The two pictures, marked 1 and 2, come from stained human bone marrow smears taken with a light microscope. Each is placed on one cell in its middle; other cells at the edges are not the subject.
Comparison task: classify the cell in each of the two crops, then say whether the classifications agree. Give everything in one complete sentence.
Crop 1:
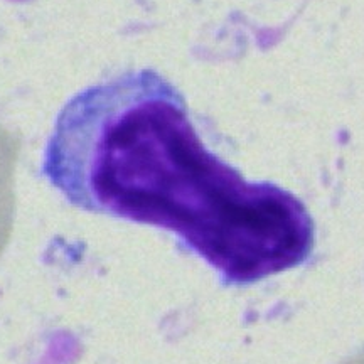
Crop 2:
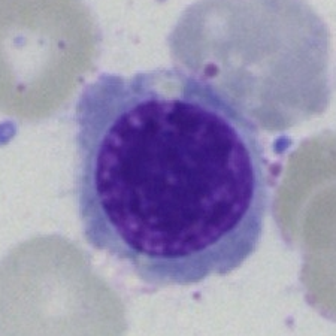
No, mark crop 1 as a lymphocyte and crop 2 as an erythroblast.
